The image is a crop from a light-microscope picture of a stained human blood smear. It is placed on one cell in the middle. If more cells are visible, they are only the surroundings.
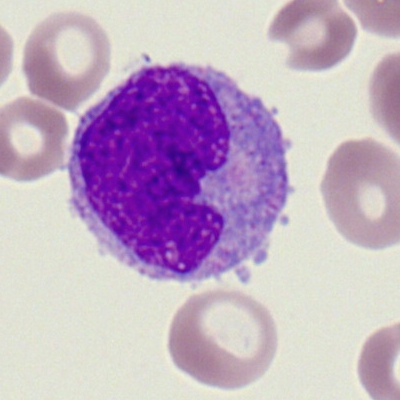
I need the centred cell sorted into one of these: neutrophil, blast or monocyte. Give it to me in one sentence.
In the centre of this crop there is a monocyte.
